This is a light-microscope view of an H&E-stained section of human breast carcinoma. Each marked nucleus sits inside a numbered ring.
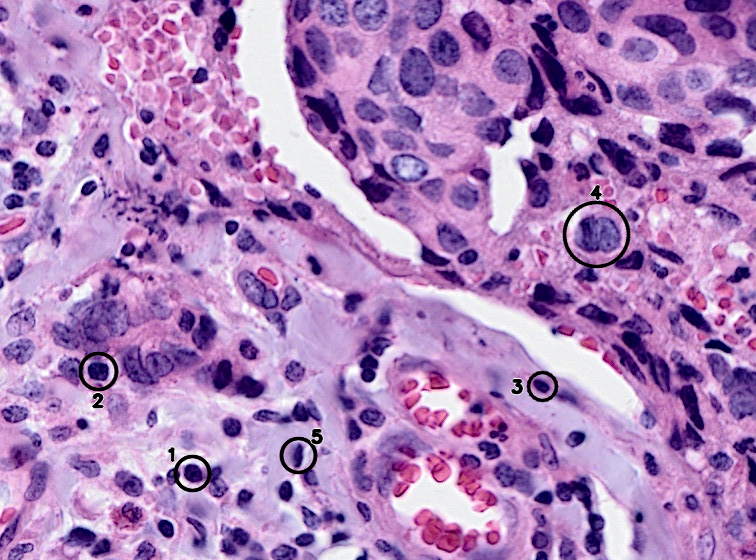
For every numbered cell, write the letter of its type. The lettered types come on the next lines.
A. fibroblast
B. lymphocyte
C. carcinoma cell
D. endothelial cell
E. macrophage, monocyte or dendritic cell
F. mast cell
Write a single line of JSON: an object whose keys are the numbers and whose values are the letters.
{"1": "B", "2": "B", "3": "F", "4": "C", "5": "B"}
